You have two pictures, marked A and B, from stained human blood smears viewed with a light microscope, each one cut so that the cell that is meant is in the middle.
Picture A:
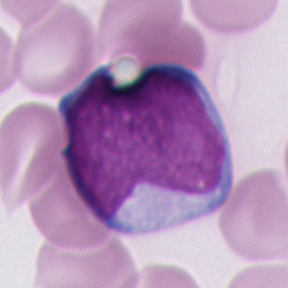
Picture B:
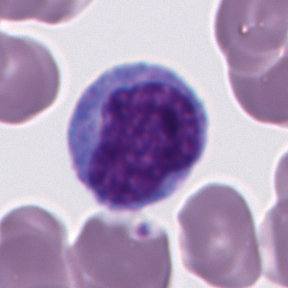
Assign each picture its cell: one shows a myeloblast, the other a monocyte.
A: myeloblast
B: monocyte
